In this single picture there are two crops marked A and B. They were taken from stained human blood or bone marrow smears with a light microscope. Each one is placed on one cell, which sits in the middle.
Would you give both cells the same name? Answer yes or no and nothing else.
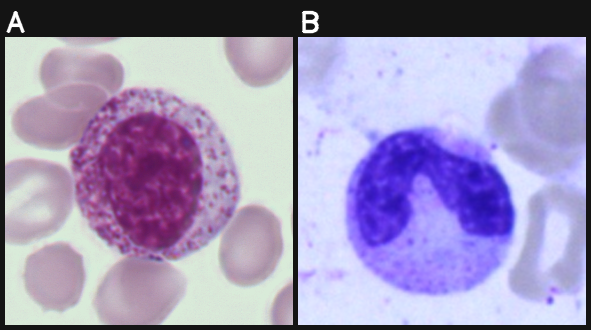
no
